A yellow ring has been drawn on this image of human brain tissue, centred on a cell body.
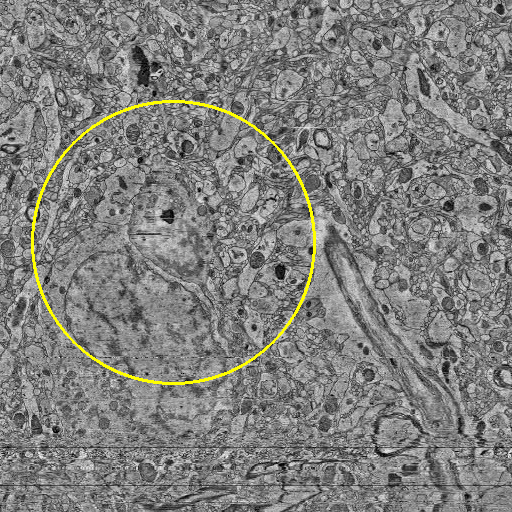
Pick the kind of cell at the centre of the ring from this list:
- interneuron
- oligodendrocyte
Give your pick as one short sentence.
The centre of the ring holds an oligodendrocyte.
